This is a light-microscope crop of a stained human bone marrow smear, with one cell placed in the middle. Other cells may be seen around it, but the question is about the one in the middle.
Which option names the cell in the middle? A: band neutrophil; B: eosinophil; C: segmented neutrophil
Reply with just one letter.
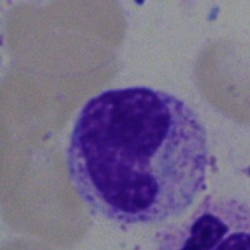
A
